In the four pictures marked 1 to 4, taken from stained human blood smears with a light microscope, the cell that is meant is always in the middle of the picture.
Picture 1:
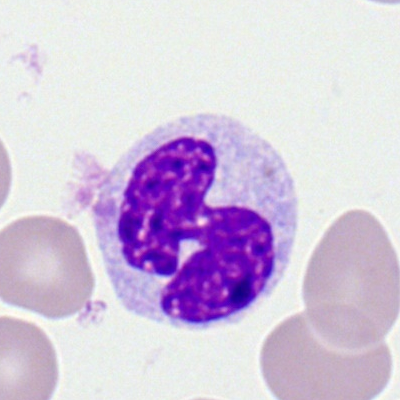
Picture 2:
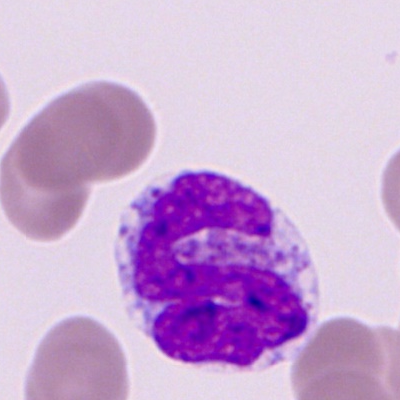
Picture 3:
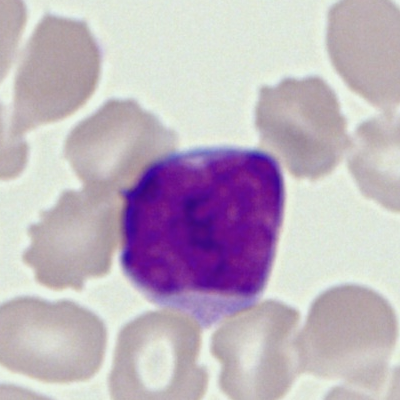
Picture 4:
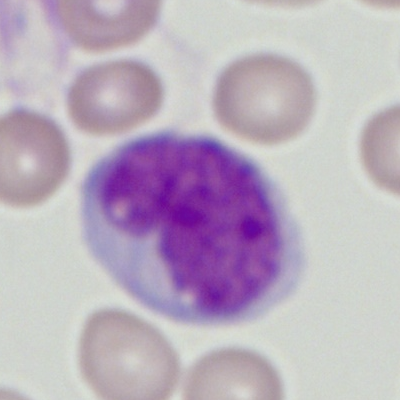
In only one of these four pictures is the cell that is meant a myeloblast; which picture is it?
3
